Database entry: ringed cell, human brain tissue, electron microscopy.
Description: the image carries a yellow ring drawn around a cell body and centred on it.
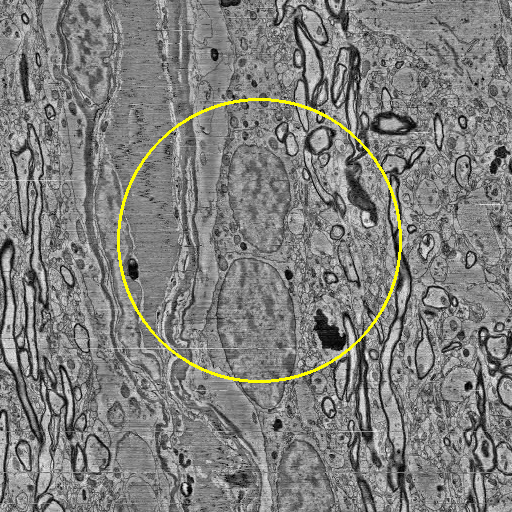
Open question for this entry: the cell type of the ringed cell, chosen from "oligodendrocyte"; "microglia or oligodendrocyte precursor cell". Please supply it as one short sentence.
The ringed cell is an oligodendrocyte.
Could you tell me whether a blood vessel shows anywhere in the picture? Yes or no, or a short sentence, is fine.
Yes, there is one.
